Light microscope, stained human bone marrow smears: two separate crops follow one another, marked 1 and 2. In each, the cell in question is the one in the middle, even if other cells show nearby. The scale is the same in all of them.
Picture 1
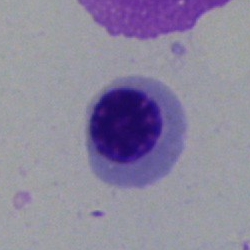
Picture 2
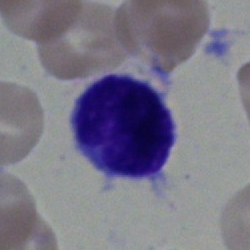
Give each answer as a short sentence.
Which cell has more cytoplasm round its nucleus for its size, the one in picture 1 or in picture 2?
It is the cell in picture 1 that is filled less by its nucleus.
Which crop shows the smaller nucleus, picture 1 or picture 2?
Smaller is the nucleus in picture 1, and the other is about 1.5 times as large in area.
